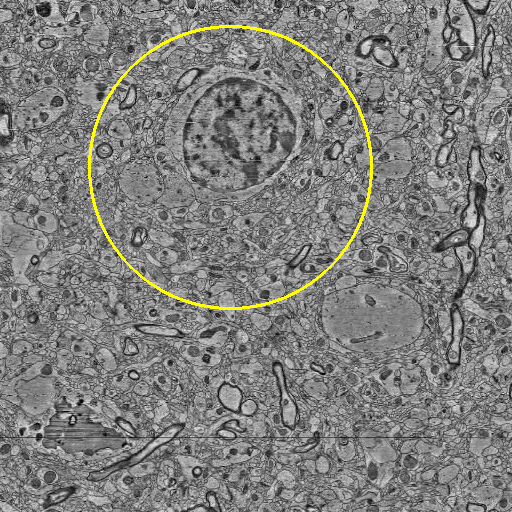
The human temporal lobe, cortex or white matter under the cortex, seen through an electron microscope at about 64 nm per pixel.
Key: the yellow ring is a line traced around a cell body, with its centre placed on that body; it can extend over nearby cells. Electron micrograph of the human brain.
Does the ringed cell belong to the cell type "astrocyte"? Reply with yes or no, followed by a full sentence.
No, the cell at the centre of the yellow ring in the picture is of another type.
